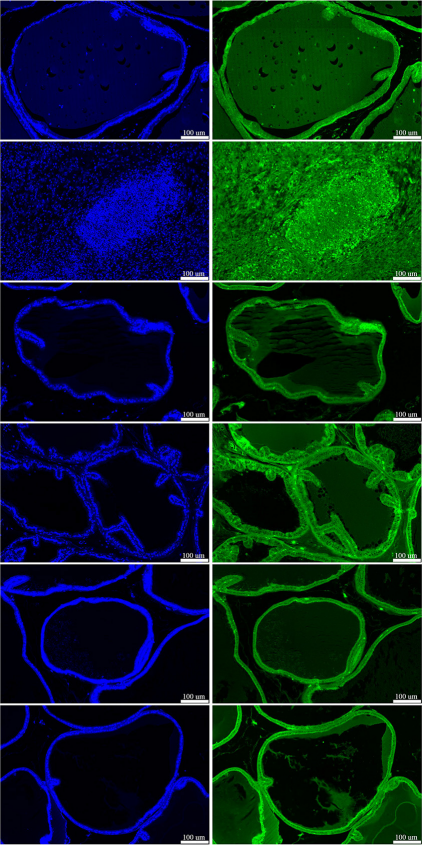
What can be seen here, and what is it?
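In one row the picture is quite different: the field is crowded with densely packed blue nuclei and speckled green throughout, with no clear open gland space. In the other rows the green fluorescence mainly follows the gland walls.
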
